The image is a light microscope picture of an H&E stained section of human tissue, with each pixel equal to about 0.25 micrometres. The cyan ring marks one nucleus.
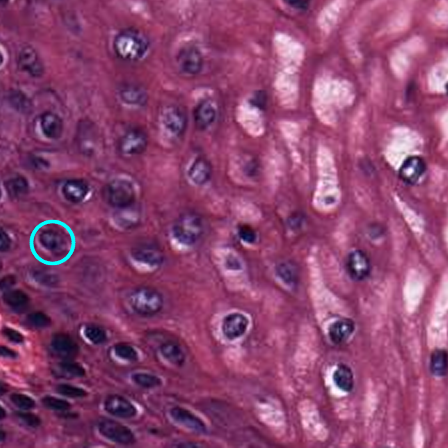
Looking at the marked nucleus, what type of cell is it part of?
squamous epithelial cell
